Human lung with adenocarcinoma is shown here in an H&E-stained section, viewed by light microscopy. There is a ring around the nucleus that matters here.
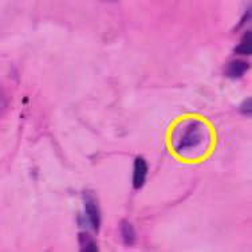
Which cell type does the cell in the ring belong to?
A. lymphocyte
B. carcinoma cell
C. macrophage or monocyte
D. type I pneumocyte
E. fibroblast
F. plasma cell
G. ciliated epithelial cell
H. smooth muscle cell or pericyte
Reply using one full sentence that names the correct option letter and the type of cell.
The statement that the cell in the ring is a fibroblast corresponds to option E, the correct one.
